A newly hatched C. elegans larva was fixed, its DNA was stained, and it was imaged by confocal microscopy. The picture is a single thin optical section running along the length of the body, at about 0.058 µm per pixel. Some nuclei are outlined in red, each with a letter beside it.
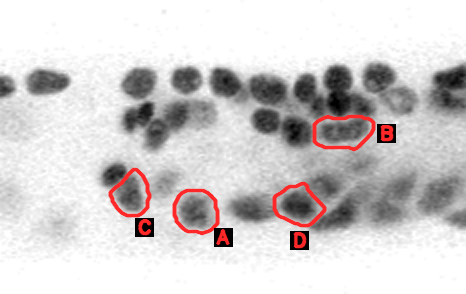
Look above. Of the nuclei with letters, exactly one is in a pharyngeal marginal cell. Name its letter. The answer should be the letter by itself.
B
